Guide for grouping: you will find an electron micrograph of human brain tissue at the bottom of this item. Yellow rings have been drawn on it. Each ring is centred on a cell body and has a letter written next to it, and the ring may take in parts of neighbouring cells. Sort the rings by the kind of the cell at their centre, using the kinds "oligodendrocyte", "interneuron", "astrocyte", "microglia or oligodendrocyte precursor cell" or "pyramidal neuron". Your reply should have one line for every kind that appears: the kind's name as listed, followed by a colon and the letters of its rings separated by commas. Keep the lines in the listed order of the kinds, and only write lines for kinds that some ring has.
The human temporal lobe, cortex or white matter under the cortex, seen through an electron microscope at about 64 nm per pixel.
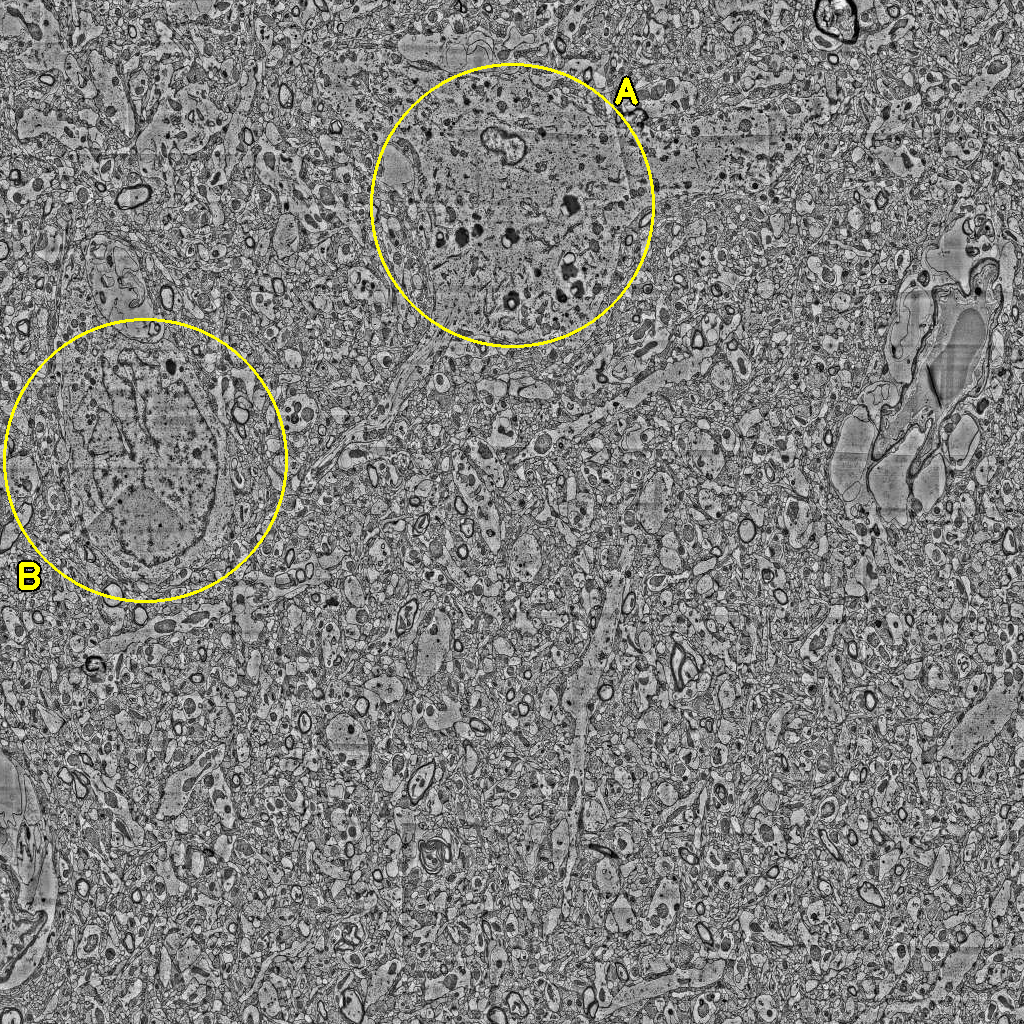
interneuron: B
pyramidal neuron: A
